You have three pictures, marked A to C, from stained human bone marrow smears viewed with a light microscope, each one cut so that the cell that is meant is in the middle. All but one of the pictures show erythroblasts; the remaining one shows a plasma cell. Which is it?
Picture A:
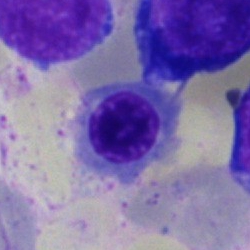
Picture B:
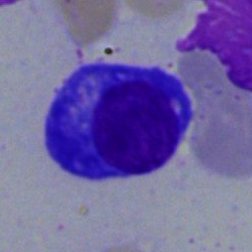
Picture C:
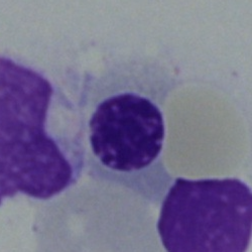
B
